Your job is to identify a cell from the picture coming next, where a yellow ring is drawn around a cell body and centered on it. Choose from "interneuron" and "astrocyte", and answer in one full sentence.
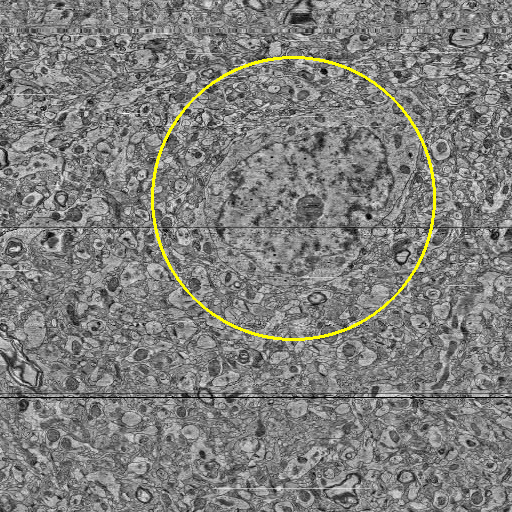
Centered in the yellow ring of the picture is the body of an interneuron.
